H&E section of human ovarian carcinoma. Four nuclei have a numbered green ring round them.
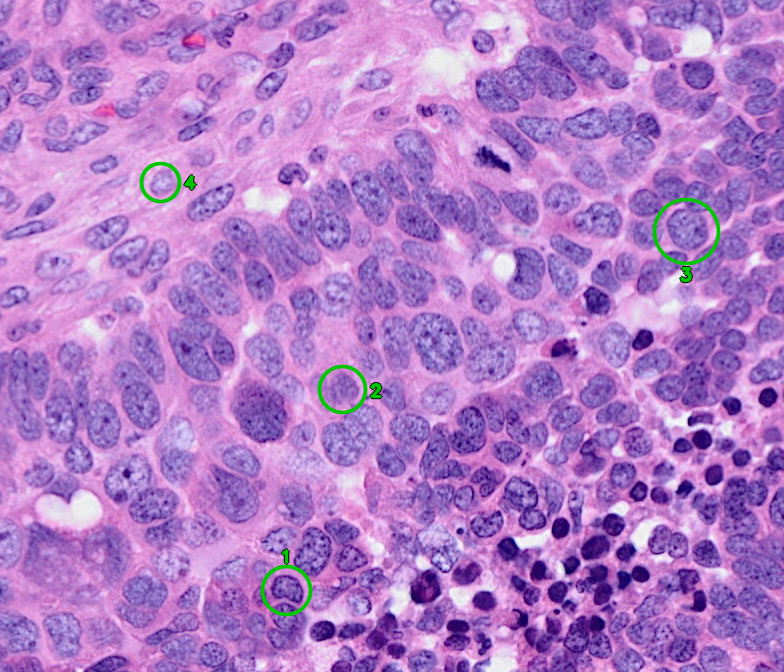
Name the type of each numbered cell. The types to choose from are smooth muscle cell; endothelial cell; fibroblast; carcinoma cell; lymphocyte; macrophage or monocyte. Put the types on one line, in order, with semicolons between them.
carcinoma cell; carcinoma cell; carcinoma cell; fibroblast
